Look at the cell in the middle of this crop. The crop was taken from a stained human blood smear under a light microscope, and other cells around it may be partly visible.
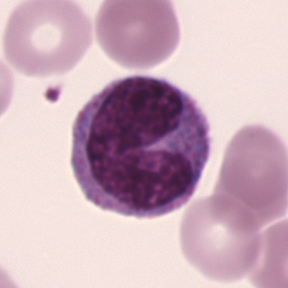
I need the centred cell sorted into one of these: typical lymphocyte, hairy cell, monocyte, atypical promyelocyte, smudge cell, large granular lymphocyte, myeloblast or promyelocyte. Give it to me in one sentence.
At the middle of the frame sits a monocyte.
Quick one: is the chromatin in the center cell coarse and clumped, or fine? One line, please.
Take a look at the chromatin, which is coarsely clumped.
